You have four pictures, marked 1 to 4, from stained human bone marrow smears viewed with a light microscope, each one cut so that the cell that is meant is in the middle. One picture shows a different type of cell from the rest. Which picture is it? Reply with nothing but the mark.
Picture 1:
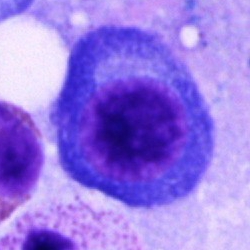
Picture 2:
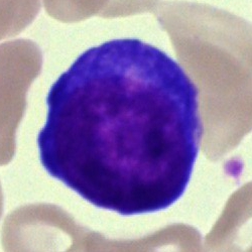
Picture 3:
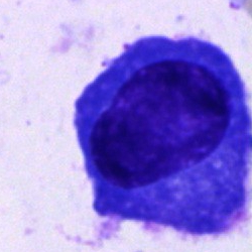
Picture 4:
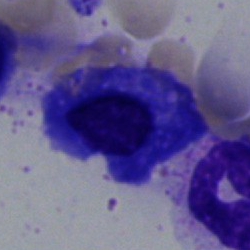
2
